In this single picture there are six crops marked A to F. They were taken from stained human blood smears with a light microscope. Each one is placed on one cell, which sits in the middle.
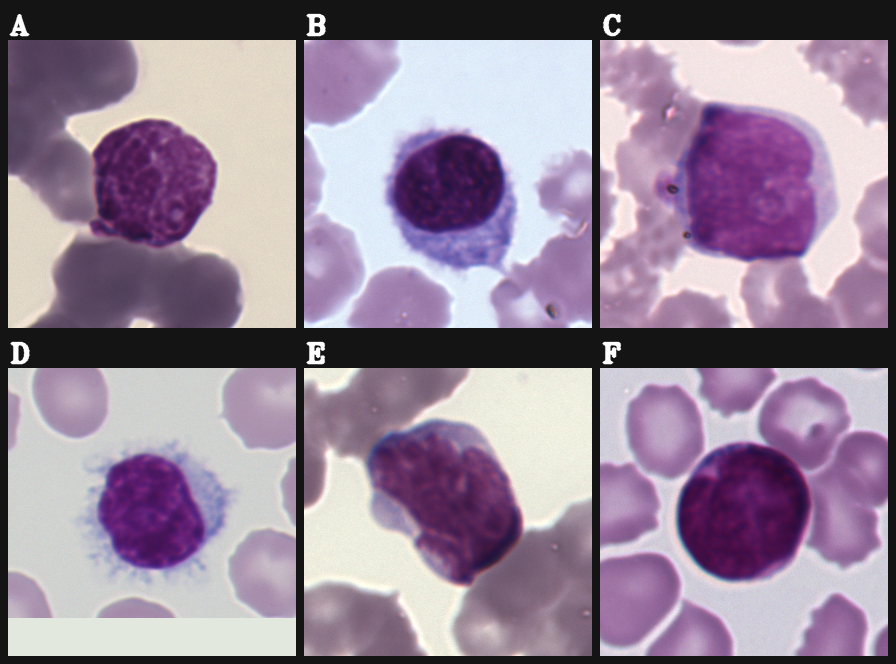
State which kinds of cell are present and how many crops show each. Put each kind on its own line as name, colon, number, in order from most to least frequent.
myeloblast: 4
hairy cell: 2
